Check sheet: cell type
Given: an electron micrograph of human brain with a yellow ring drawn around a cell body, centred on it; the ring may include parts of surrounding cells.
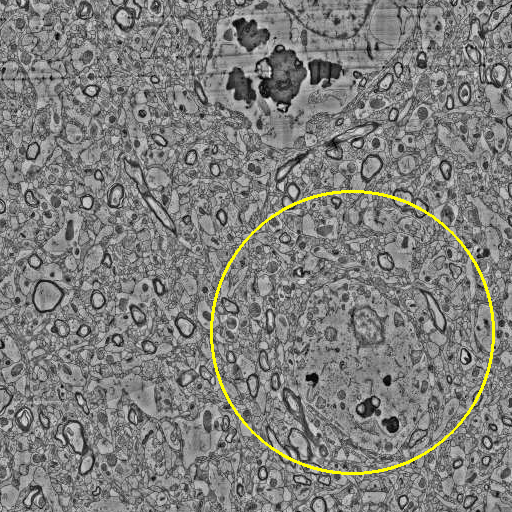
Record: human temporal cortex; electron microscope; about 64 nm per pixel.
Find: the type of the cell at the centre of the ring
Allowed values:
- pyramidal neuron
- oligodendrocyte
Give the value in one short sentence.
Here the ringed cell is a pyramidal neuron.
